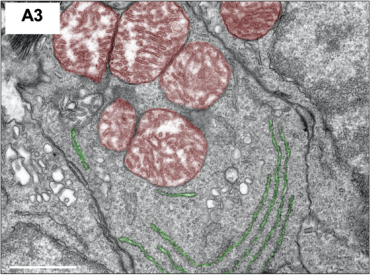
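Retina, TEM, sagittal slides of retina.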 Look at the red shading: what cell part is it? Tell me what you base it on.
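Their interiors are filled with folded inner membranes (cristae).
Mitochondria.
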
